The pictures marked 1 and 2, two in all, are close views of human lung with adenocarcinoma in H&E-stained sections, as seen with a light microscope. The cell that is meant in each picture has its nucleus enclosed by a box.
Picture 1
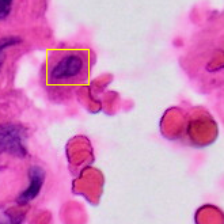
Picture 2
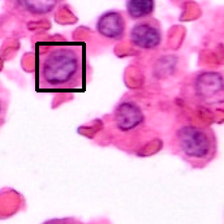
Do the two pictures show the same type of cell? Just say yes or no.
yes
